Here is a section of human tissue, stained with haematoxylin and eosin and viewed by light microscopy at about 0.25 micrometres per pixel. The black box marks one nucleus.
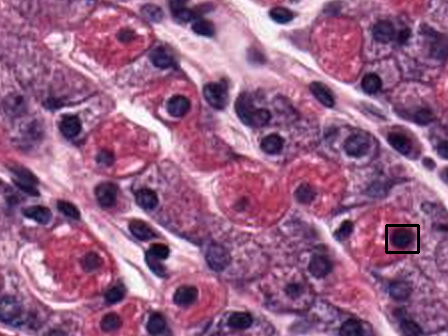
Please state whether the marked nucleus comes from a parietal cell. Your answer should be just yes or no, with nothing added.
yes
